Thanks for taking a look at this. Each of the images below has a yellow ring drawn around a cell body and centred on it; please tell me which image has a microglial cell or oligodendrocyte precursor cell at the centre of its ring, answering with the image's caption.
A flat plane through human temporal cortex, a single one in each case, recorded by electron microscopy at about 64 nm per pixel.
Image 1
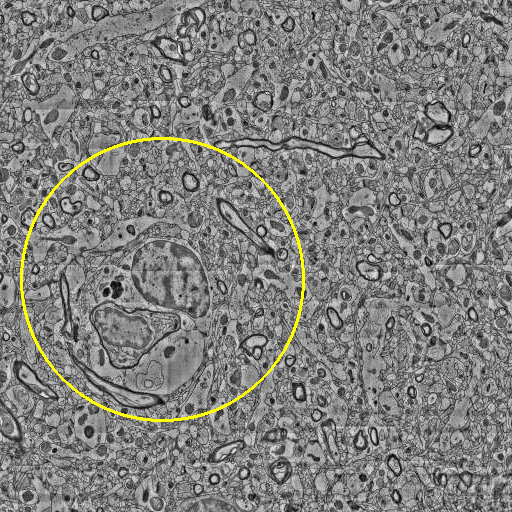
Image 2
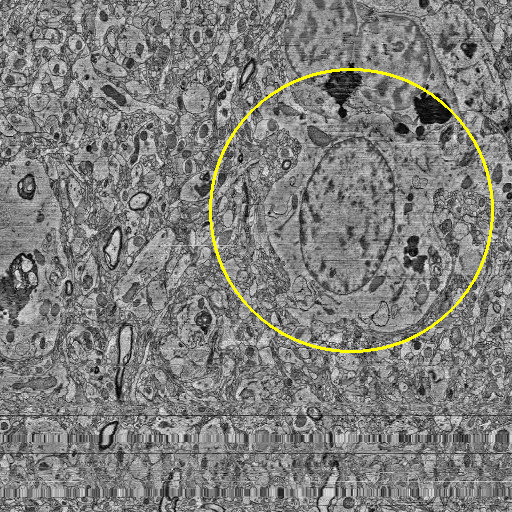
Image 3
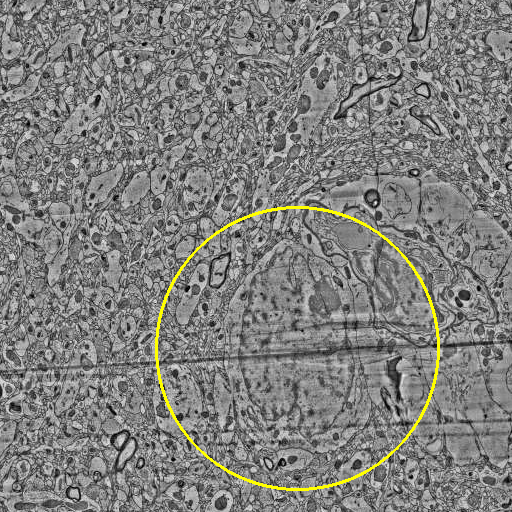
Image 1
